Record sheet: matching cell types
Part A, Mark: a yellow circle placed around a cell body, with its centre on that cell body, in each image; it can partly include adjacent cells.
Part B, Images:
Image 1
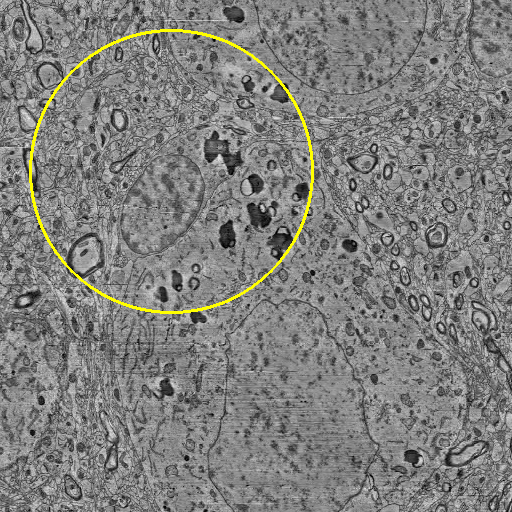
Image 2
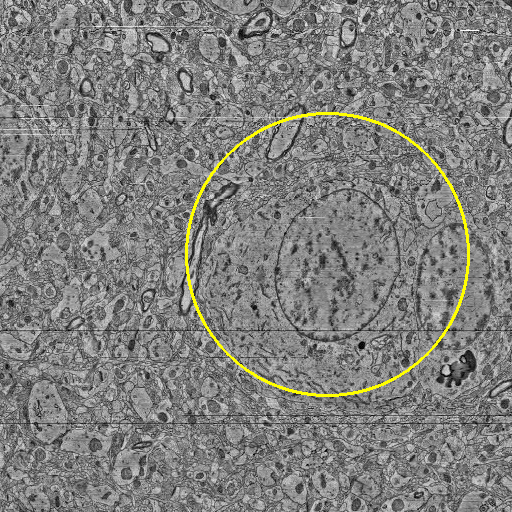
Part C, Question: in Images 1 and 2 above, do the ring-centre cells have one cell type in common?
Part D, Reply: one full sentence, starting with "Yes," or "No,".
No, the ring-centre cells of Image 1 and Image 2 are each of a separate cell type.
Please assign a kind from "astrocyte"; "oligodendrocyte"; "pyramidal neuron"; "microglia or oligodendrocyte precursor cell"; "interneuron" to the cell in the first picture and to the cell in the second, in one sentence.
In the first picture we have an oligodendrocyte, and in the second, a pyramidal neuron.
